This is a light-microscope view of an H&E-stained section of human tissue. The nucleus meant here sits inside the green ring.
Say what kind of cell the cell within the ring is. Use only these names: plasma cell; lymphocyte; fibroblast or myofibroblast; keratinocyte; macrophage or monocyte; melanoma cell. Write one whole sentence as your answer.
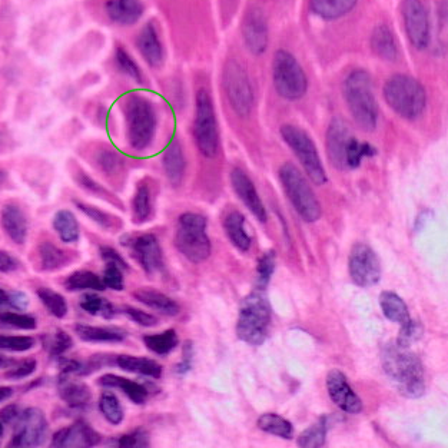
Speaking plainly, the cell within the ring is nothing other than a keratinocyte.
